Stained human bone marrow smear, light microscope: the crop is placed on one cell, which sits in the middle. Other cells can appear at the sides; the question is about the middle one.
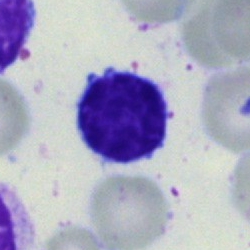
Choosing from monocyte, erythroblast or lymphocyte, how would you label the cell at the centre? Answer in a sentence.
The crop shows a lymphocyte in its centre.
